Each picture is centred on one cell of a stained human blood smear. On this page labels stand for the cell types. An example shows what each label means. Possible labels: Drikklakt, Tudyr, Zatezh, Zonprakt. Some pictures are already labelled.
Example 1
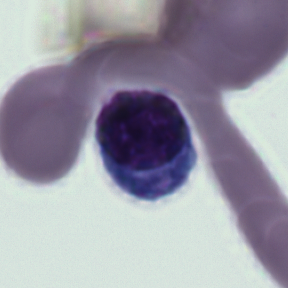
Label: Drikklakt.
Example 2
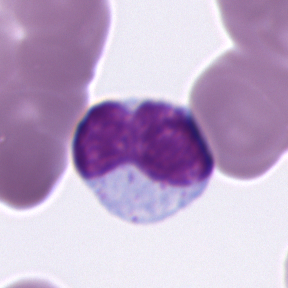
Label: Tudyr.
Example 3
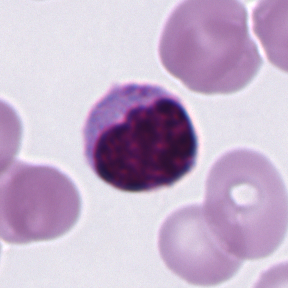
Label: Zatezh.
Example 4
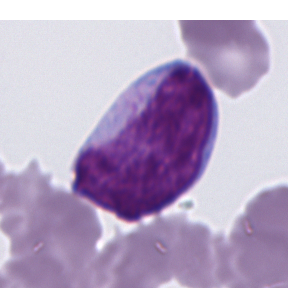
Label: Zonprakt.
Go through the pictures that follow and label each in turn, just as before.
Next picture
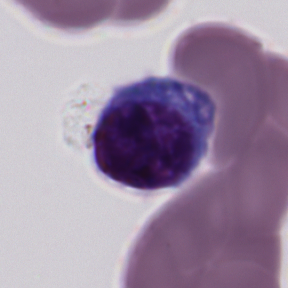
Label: Drikklakt.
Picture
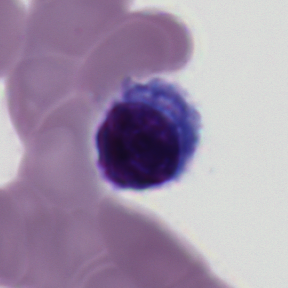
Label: Drikklakt.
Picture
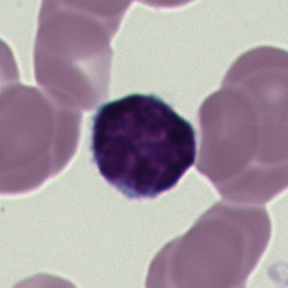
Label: Zatezh.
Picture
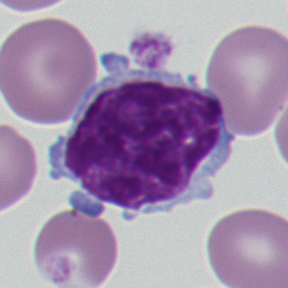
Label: Zatezh.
